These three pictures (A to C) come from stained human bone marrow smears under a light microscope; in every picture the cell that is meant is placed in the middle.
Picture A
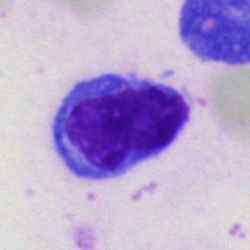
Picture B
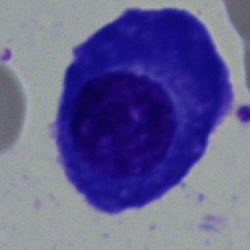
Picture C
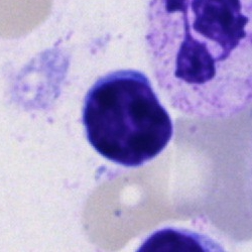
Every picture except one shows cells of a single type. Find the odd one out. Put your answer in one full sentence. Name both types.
All pictures except B show lymphocytes; picture B shows a plasma cell.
